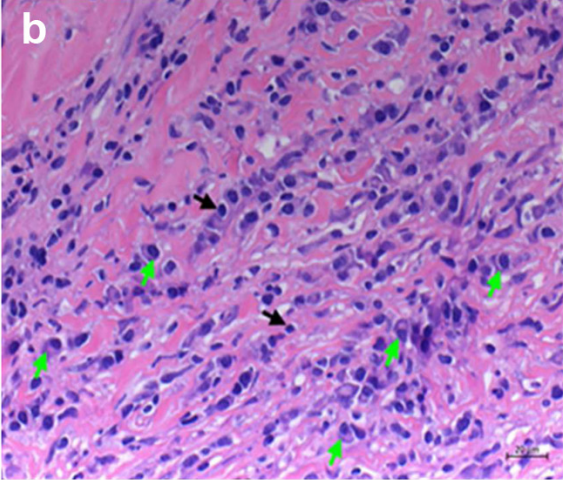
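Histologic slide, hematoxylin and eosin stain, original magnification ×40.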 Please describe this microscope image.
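This high-power view shows a dense inflammatory infiltrate rich in plasma cells lying within pink collagenous stroma. The plasma cells are round to oval, with dark, round nuclei that sit toward one side of the cell and a modest rim of pink to purplish cytoplasm. Between them run wavy bundles of pink collagen, and elongated spindle-shaped nuclei follow the direction of the fibers. Smaller cells with scant cytoplasm and dark nuclei are mixed among them, so the tissue appears crowded and fibroinflammatory rather than orderly.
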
